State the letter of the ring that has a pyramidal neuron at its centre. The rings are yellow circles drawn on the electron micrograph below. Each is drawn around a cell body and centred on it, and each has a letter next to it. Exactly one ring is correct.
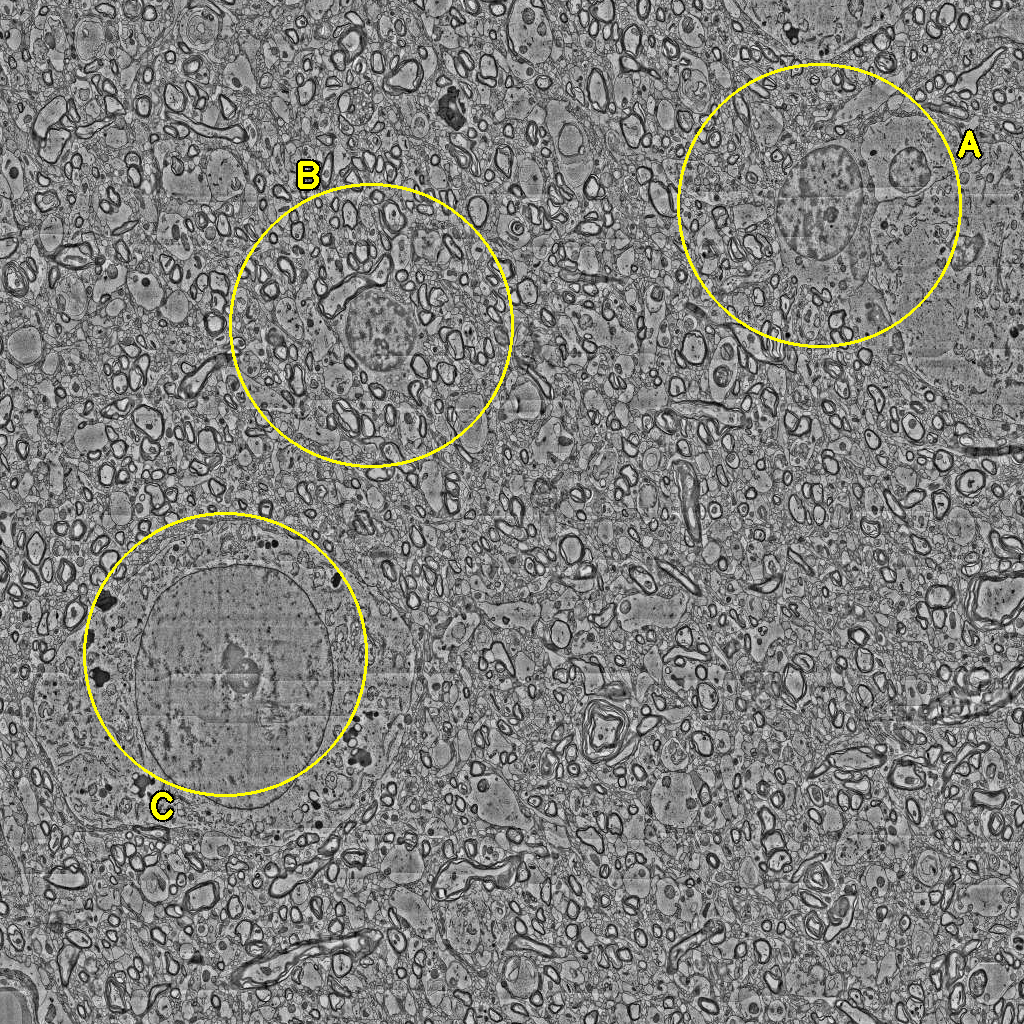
C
